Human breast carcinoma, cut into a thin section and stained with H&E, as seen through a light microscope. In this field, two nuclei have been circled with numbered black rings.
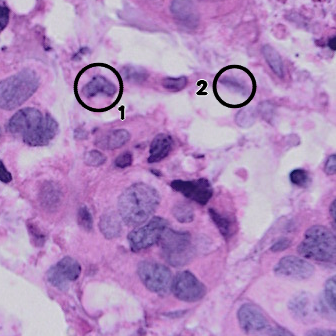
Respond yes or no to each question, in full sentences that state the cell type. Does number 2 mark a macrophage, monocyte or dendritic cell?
No, the cell at number 2 is a fibroblast instead of a macrophage, monocyte or dendritic cell.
